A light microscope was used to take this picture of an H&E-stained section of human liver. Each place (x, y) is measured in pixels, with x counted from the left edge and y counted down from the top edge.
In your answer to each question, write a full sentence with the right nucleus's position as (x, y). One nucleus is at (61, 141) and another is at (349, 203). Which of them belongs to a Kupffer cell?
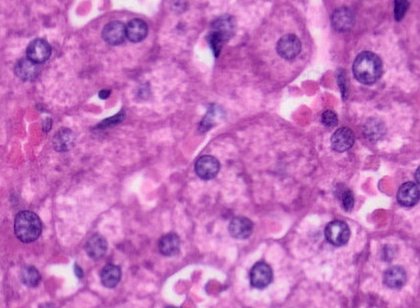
Assigned to a Kupffer cell is the nucleus located at (349, 203).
